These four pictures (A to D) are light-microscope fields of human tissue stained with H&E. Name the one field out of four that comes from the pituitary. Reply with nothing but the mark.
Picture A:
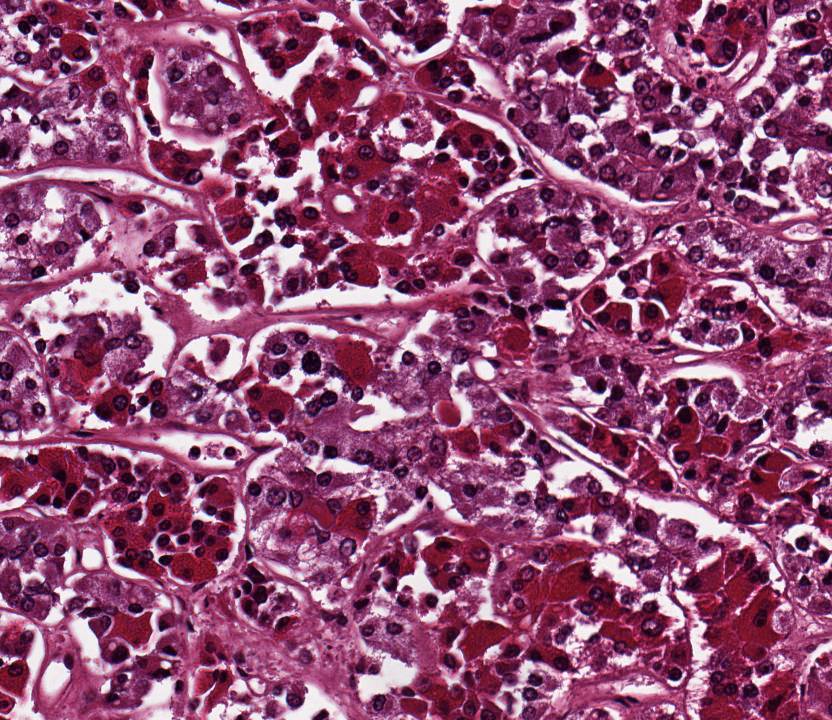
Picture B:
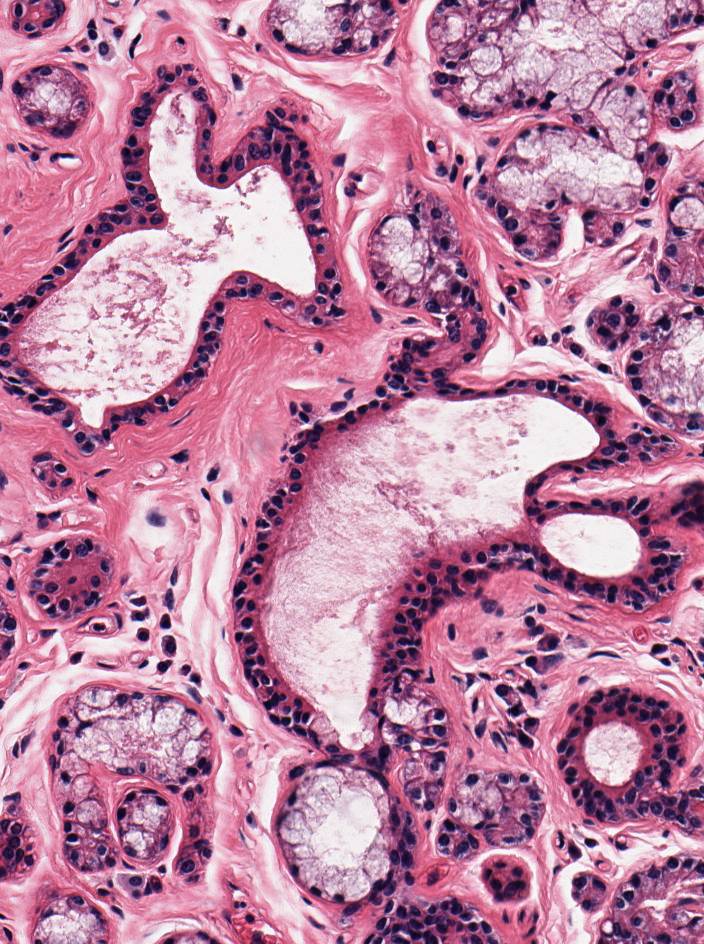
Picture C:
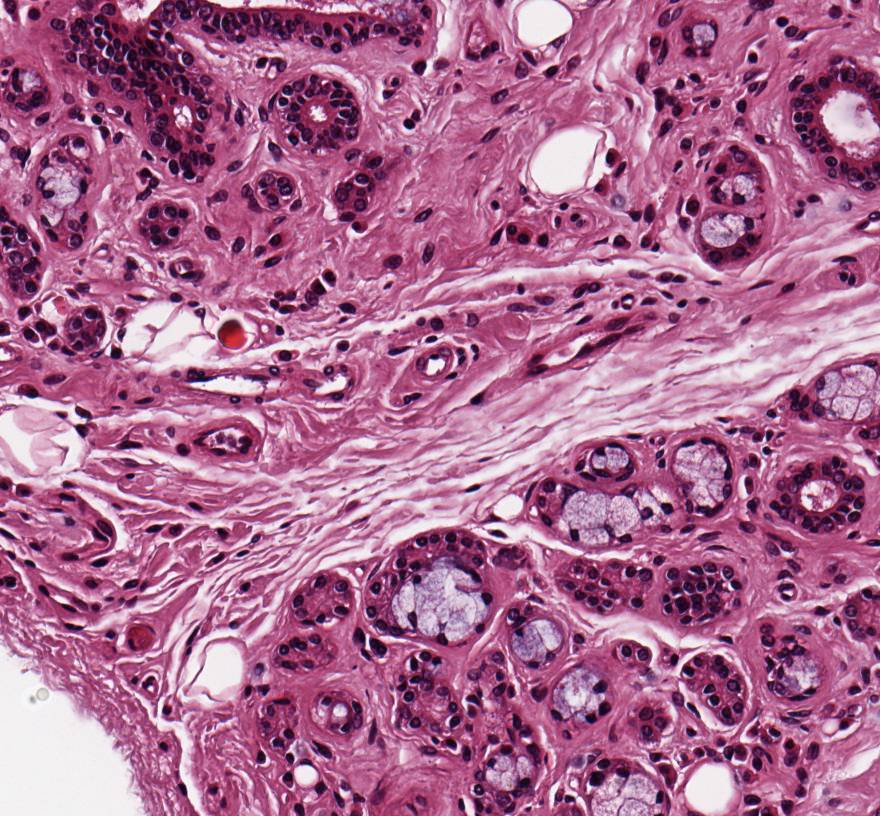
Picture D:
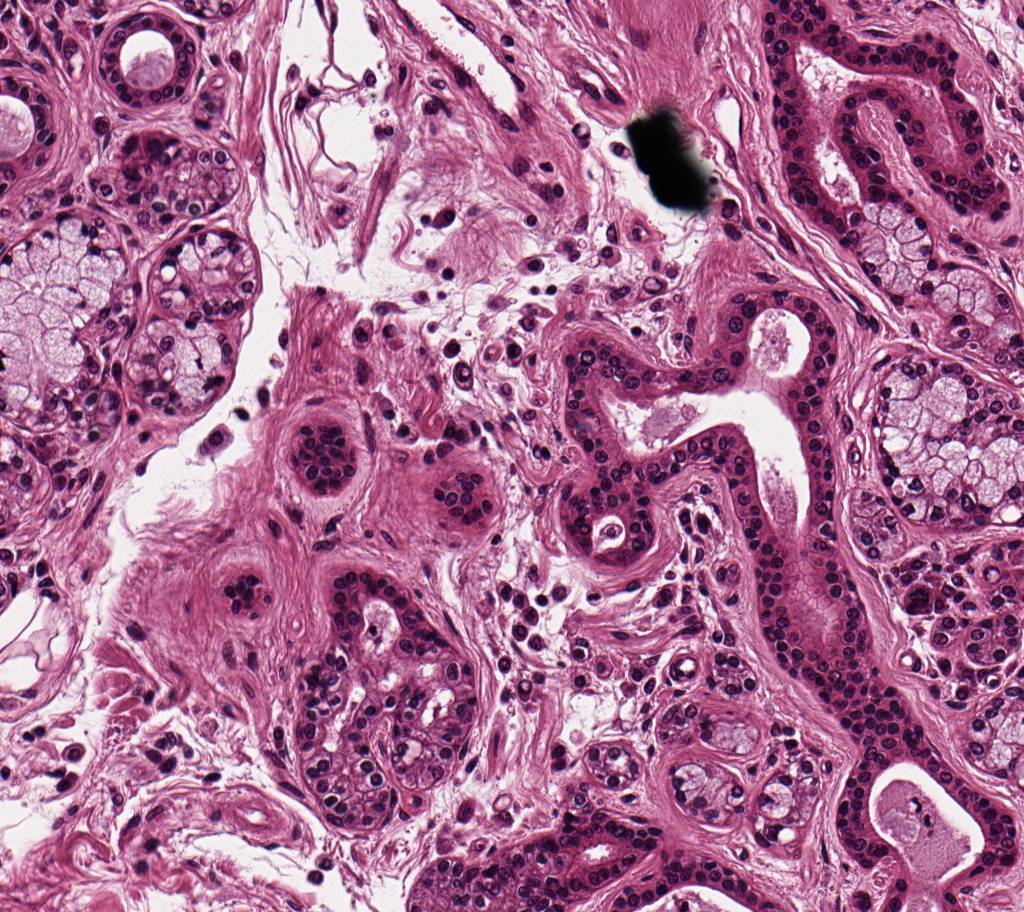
A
